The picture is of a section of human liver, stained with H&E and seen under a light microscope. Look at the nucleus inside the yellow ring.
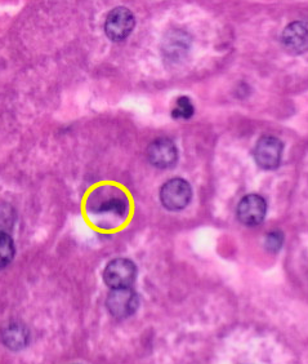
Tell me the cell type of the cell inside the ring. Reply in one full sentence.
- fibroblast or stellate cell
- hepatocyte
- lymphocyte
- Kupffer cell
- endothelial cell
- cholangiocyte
Students should answer that the cell inside the ring is an endothelial cell.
